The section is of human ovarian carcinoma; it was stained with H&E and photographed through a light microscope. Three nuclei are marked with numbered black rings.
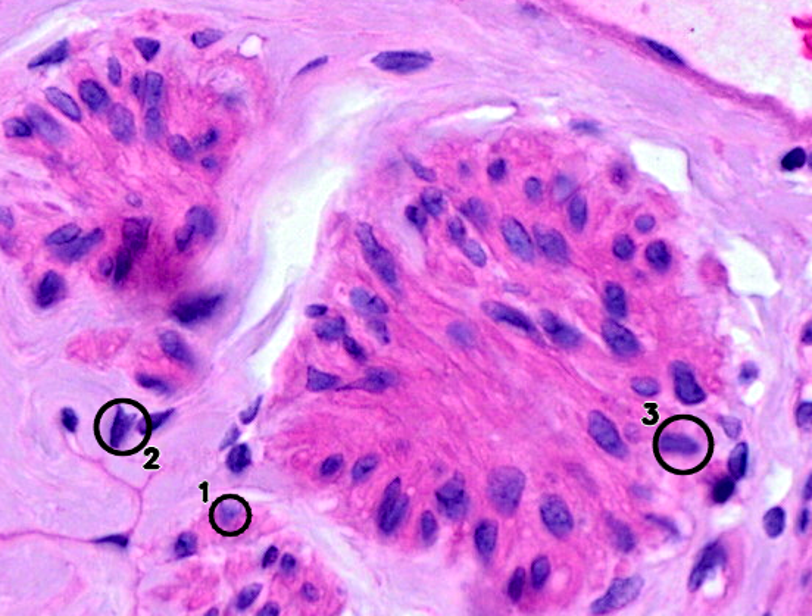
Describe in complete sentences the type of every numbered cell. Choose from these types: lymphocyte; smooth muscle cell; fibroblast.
Cells 1 and 3 are smooth muscle cells. Cell 2 is a fibroblast.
